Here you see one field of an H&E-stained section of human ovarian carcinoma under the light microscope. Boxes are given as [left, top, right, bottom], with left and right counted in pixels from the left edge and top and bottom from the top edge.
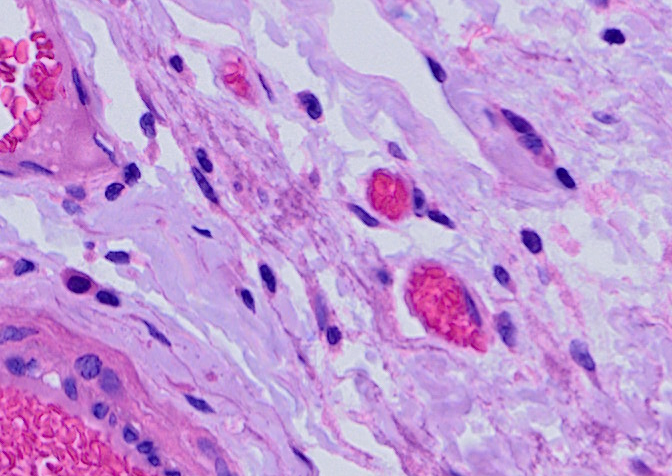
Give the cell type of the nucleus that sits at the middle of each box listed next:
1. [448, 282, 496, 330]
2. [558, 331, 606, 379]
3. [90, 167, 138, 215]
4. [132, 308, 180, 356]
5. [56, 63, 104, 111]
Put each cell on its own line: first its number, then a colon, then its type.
1: endothelial cell
2: fibroblast
3: lymphocyte
4: fibroblast
5: endothelial cell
